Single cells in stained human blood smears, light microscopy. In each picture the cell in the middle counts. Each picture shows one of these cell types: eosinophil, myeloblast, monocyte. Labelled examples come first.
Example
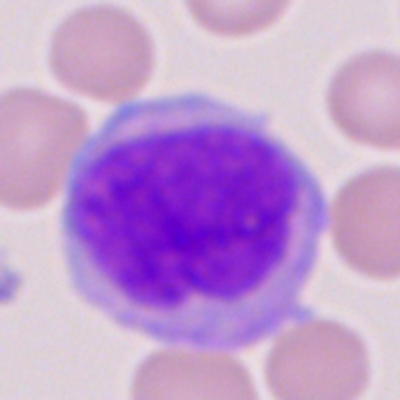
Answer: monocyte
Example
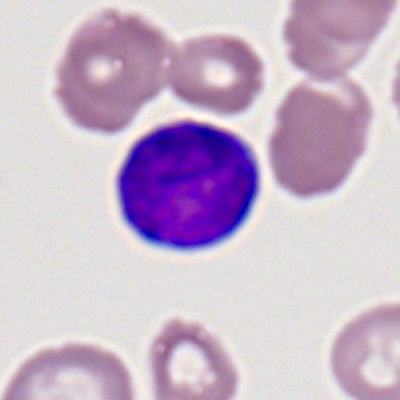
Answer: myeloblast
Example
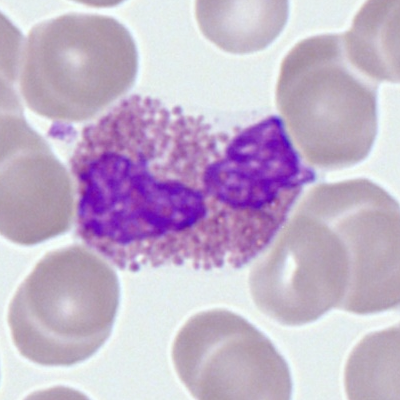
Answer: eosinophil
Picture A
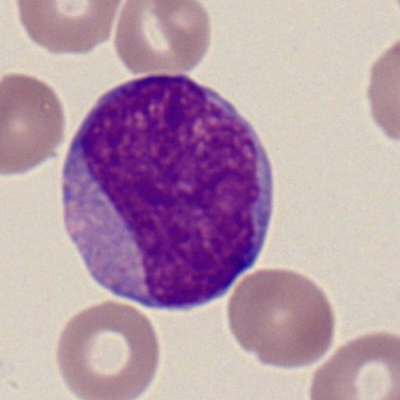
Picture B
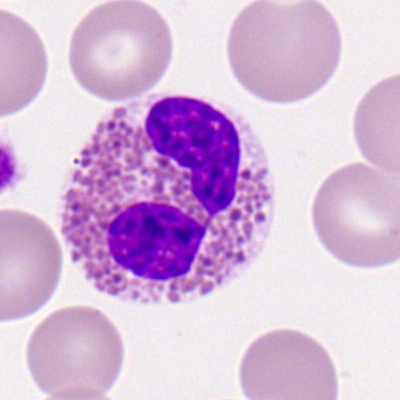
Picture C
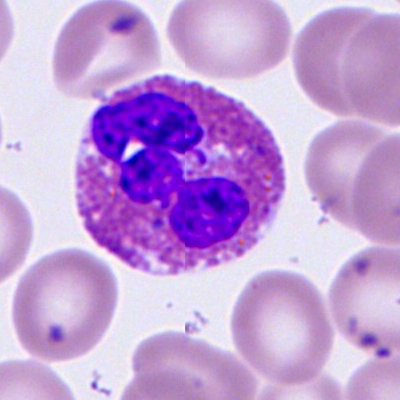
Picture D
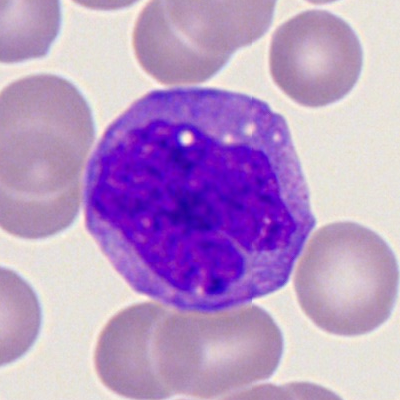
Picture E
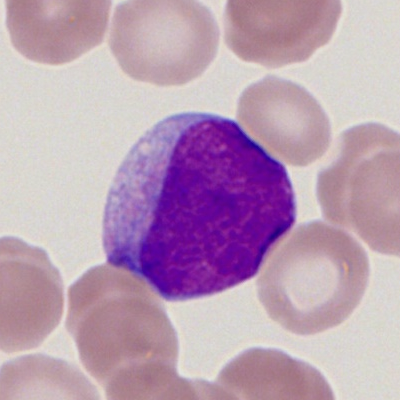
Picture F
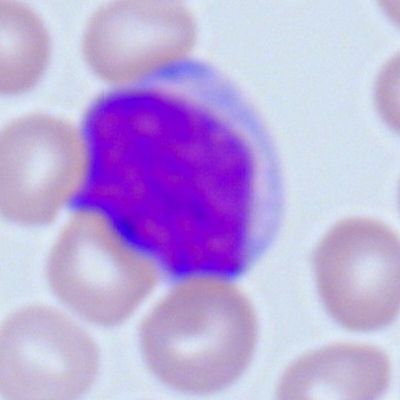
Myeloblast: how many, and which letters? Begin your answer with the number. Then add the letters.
Count: 3 (A, E, F)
